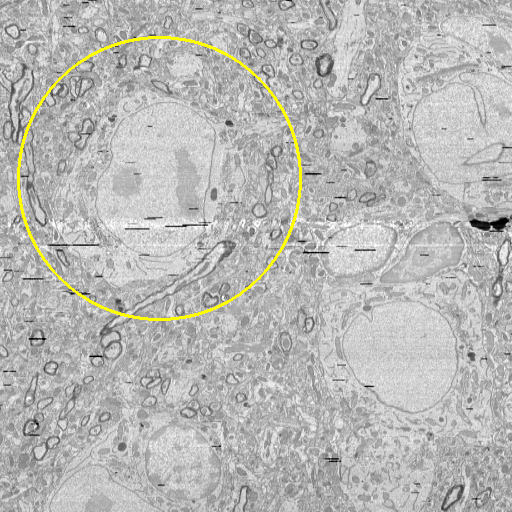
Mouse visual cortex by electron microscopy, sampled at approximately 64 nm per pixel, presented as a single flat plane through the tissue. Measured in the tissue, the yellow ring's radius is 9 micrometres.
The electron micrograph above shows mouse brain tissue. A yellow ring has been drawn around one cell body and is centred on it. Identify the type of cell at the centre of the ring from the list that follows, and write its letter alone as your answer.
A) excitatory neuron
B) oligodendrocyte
A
